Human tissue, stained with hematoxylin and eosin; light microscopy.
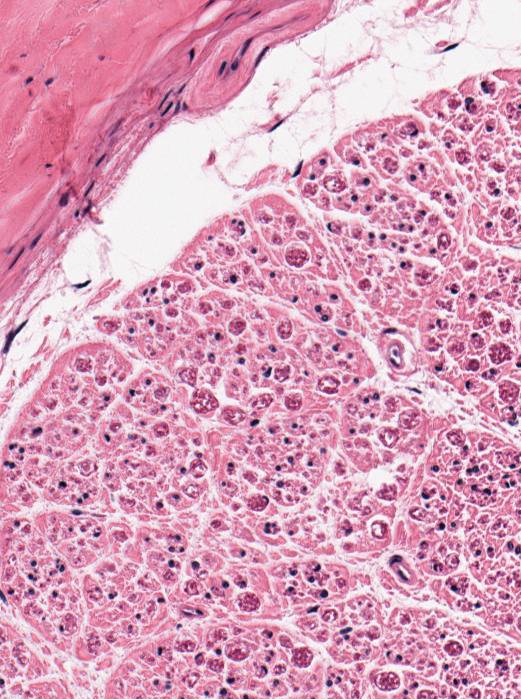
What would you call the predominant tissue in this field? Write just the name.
nerve fascicle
